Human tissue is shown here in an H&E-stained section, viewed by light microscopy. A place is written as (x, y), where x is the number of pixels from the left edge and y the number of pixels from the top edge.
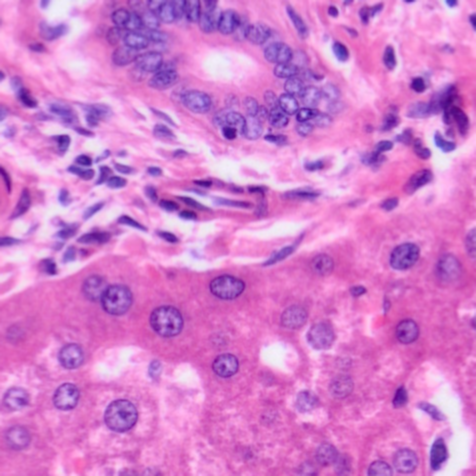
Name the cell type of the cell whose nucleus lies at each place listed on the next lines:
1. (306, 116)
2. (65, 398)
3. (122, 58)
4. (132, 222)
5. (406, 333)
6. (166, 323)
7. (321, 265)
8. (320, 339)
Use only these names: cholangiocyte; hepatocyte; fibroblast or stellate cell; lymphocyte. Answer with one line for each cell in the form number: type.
1: cholangiocyte
2: hepatocyte
3: cholangiocyte
4: fibroblast or stellate cell
5: hepatocyte
6: hepatocyte
7: hepatocyte
8: hepatocyte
